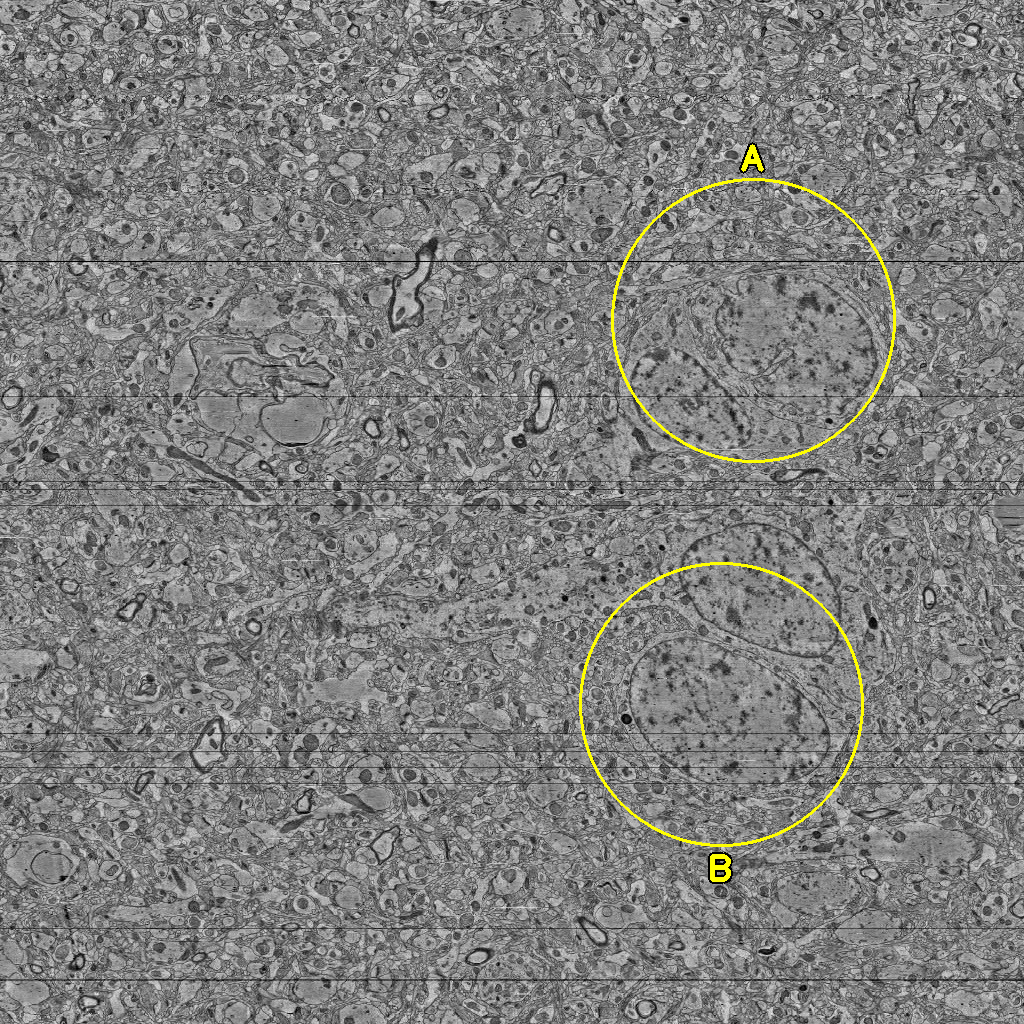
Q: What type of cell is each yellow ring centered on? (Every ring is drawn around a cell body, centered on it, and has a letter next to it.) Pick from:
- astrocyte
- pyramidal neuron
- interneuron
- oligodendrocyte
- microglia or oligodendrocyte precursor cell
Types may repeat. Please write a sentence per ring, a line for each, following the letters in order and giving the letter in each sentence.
The cell body centered in ring A belongs to an interneuron.
The cell body centered in ring B belongs to a pyramidal neuron.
